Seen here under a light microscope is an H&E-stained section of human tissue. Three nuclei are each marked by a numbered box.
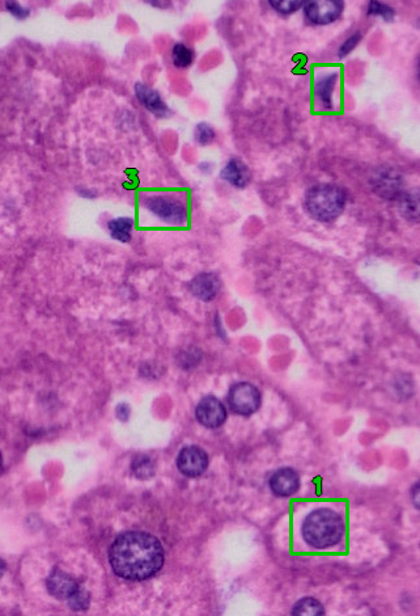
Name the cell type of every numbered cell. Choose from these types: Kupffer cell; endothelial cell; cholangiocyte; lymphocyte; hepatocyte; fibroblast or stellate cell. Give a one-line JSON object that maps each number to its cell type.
{"1": "hepatocyte", "2": "endothelial cell", "3": "fibroblast or stellate cell"}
